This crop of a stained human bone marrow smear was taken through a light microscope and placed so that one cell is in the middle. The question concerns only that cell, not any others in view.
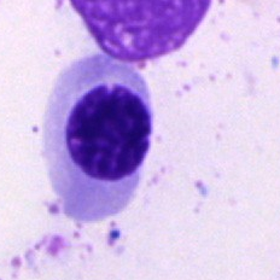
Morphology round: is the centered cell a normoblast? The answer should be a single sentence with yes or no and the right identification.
Yes, the centered cell in this field is a normoblast.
